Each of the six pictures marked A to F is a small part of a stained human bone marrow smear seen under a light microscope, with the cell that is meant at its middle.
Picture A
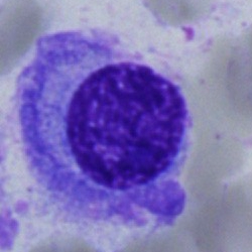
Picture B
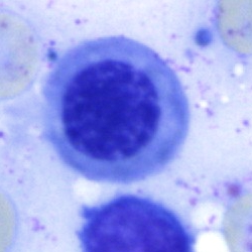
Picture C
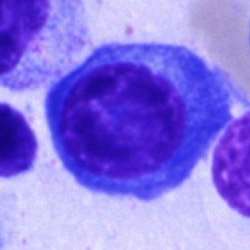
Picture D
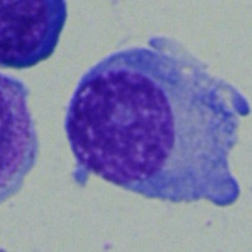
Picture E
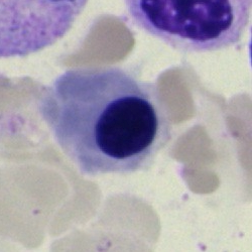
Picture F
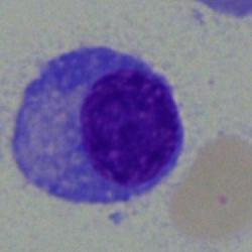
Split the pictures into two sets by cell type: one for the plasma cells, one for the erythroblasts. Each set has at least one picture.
A: plasma cell
B: erythroblast
C: plasma cell
D: plasma cell
E: erythroblast
F: plasma cell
